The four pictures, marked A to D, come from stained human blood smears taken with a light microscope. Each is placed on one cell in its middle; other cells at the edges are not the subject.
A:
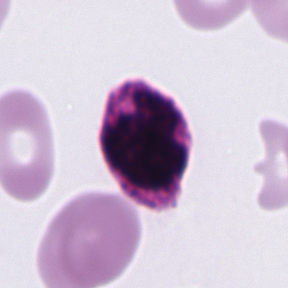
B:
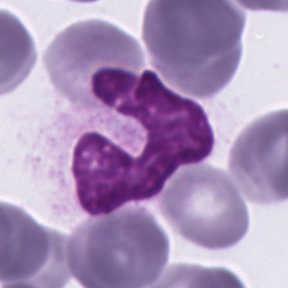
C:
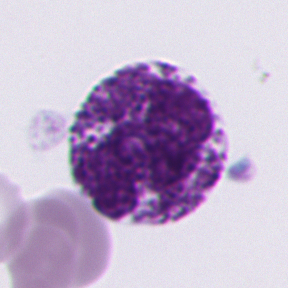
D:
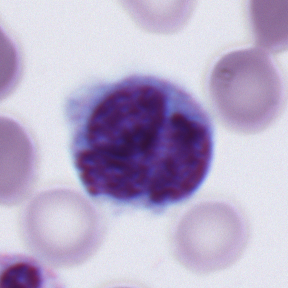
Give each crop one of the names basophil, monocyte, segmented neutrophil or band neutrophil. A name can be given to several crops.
A: basophil
B: band neutrophil
C: basophil
D: monocyte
